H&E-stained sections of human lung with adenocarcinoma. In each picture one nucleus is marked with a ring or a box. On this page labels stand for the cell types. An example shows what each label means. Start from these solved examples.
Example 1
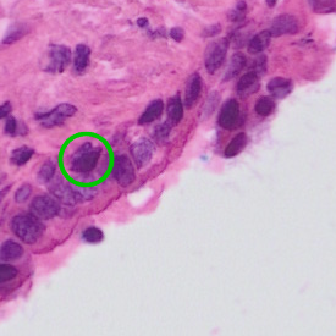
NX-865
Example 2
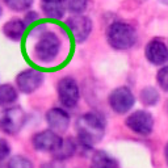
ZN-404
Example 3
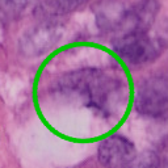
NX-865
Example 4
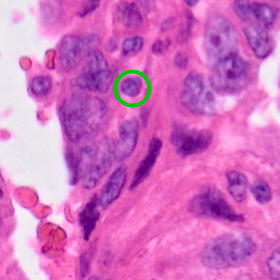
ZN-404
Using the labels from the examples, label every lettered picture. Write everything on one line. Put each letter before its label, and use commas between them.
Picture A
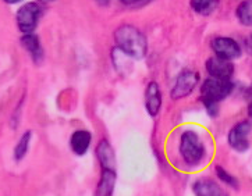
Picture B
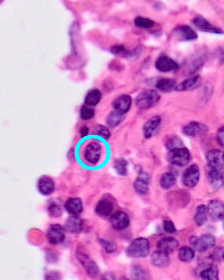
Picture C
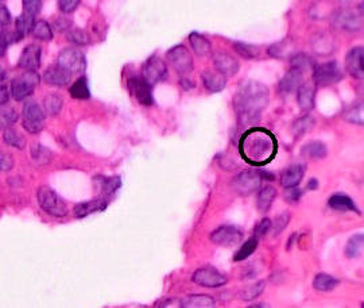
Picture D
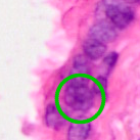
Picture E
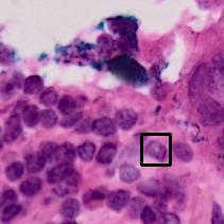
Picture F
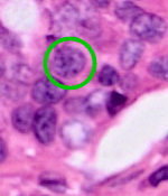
A ZN-404, B ZN-404, C NX-865, D NX-865, E ZN-404, F NX-865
